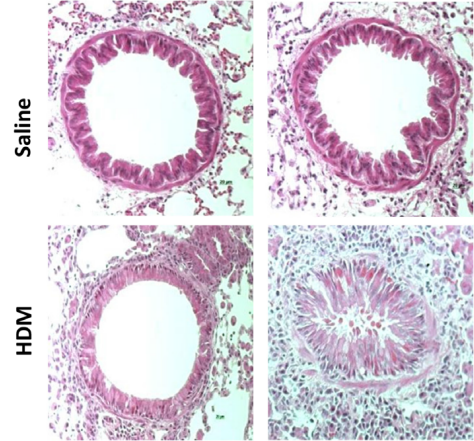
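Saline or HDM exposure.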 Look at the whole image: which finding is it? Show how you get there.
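In the lower images, dense sheets of small nucleated cells crowd the tissue around the tube.
Hence: chronic airway inflammation.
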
